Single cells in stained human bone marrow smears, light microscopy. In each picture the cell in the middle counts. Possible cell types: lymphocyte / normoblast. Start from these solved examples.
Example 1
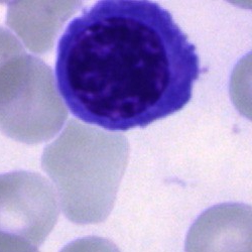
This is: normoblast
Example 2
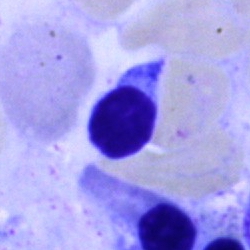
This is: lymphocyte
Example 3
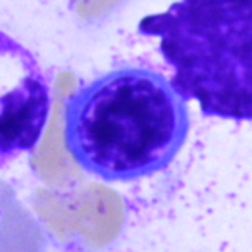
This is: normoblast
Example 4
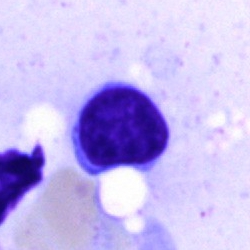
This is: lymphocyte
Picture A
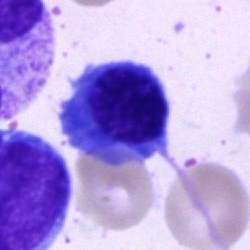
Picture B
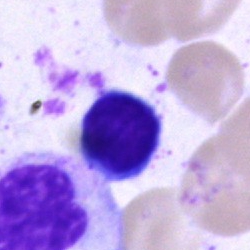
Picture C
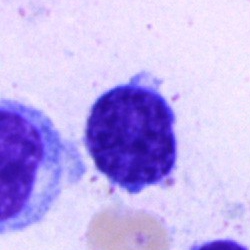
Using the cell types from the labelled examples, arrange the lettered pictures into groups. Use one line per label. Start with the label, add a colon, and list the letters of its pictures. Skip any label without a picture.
lymphocyte: B, C
normoblast: A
